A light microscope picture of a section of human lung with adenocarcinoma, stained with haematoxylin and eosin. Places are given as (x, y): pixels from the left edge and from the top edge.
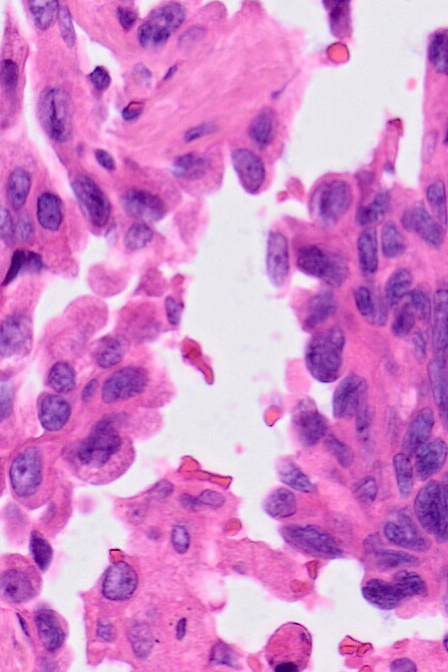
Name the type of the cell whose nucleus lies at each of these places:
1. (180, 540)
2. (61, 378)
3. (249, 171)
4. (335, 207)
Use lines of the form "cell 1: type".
cell 1: macrophage or monocyte
cell 2: carcinoma cell
cell 3: carcinoma cell
cell 4: carcinoma cell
